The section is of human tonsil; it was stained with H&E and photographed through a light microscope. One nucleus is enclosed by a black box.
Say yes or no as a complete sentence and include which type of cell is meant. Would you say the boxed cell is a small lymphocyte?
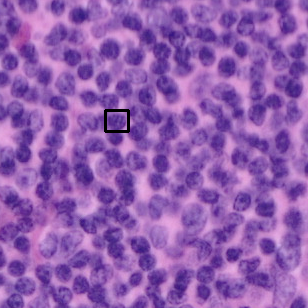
Yes, the boxed cell is recognized as a small lymphocyte in this section.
